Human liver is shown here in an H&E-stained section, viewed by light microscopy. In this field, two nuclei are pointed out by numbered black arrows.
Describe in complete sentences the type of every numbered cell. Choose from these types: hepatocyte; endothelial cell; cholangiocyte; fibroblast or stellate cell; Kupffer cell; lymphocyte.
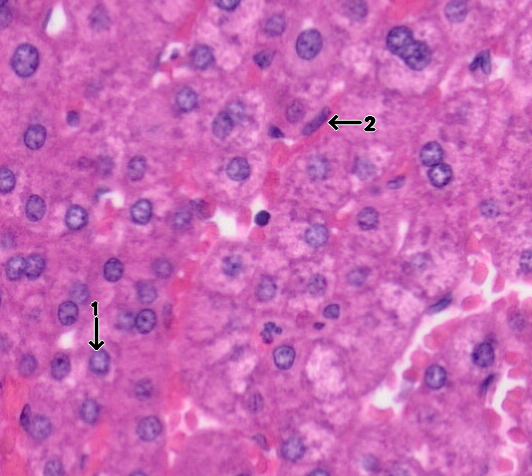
Cell 1 is a hepatocyte. Cell 2 is a Kupffer cell.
